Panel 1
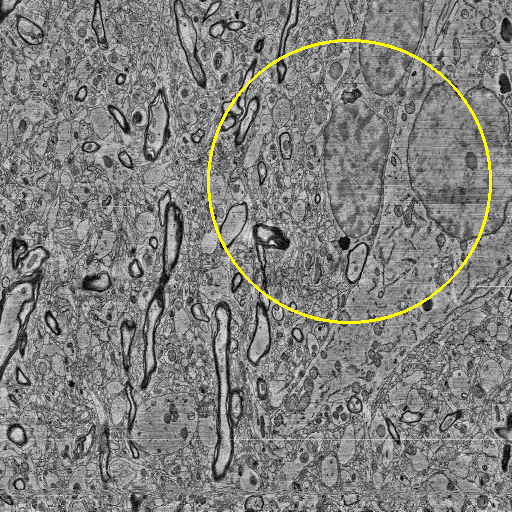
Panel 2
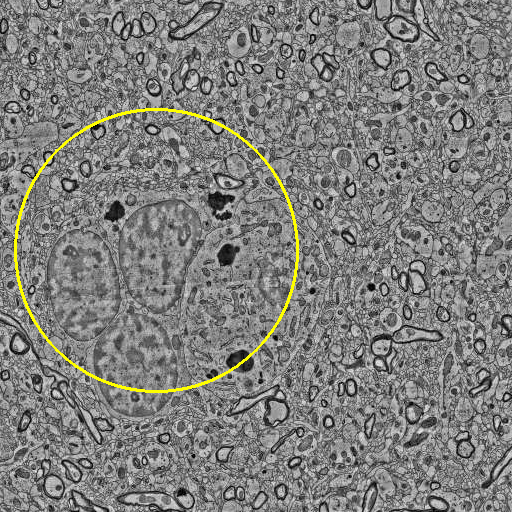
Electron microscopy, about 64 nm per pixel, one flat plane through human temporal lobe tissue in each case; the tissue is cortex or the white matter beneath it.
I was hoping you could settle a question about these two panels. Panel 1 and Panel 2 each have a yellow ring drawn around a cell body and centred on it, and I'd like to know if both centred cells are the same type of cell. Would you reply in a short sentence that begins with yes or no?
Yes, both are the same type of cell.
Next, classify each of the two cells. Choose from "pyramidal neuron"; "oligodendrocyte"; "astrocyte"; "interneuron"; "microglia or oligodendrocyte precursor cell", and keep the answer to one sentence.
Each of the ringed cells, first and second, is an oligodendrocyte.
